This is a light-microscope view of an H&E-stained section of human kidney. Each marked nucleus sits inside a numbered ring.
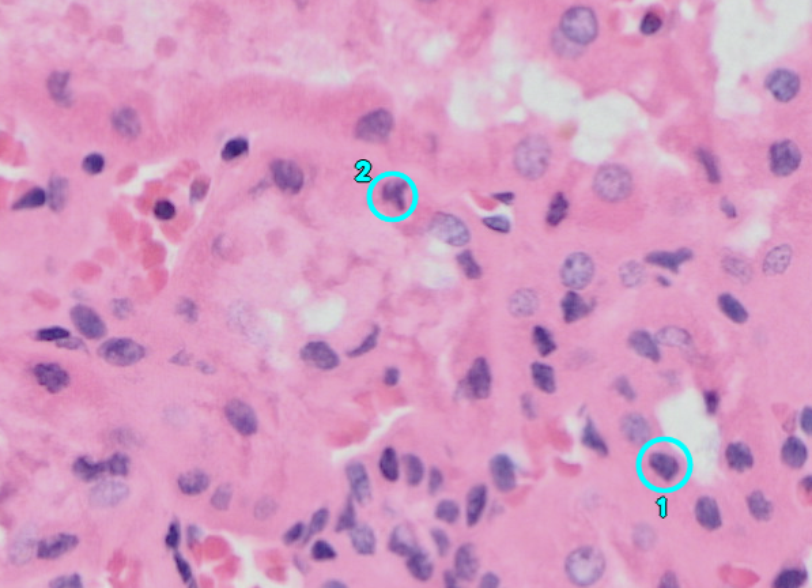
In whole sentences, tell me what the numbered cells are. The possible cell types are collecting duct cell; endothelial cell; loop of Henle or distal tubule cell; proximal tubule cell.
Cell 1 is a loop of Henle or distal tubule cell and cell 2 is a proximal tubule cell.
